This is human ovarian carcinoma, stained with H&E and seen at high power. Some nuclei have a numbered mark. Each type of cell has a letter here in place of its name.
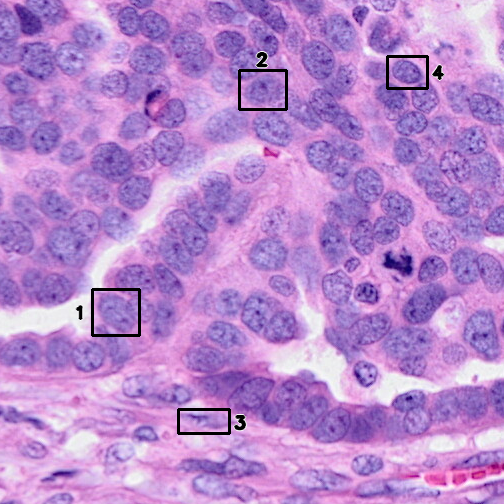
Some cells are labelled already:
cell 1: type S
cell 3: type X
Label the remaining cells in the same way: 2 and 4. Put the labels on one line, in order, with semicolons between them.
type S; type S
